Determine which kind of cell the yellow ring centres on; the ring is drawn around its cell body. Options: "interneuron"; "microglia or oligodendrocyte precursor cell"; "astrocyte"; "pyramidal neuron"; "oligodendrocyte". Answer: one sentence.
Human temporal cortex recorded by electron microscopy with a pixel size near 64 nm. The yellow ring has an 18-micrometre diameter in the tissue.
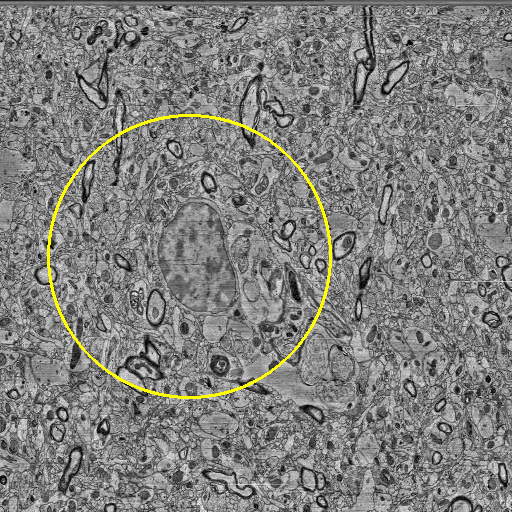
The ring centres on an oligodendrocyte.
